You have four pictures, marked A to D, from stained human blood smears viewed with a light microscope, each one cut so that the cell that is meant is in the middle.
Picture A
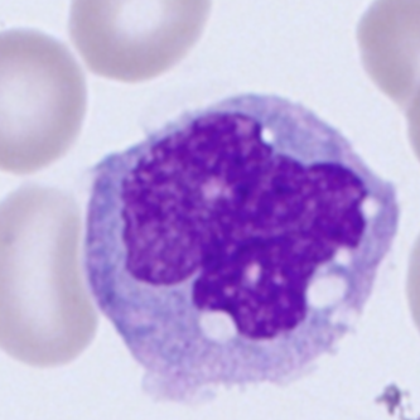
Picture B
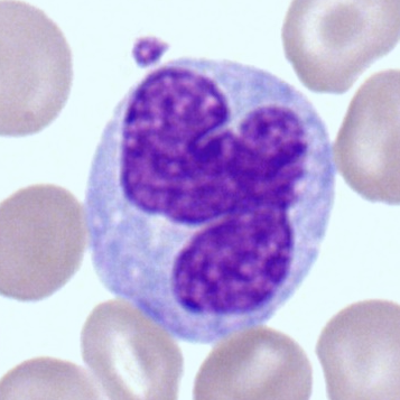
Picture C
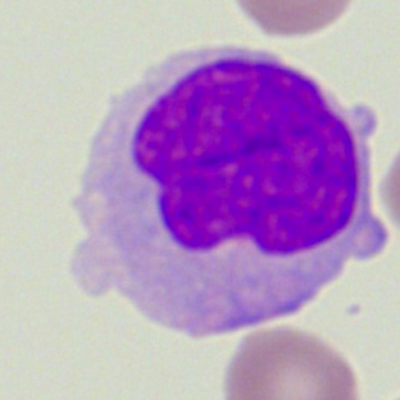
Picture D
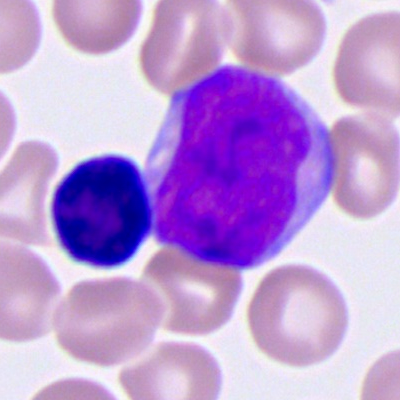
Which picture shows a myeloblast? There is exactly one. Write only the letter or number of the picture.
D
